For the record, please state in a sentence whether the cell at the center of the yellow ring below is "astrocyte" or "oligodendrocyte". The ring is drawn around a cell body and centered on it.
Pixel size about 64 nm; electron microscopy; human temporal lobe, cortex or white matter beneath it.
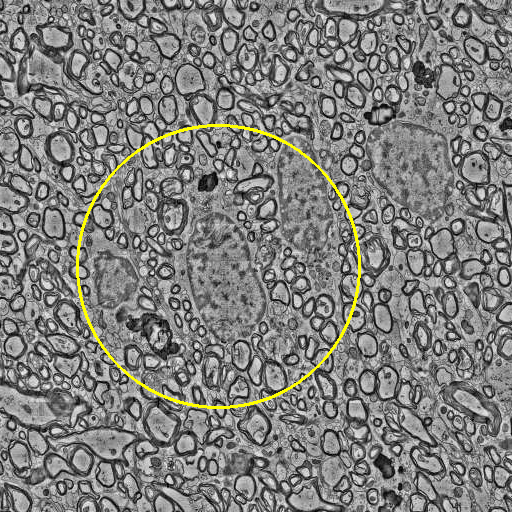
The cell at the ring's center is an oligodendrocyte.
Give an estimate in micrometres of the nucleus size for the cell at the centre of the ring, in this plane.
About 8 by 4 micrometers in this plane, so the nucleus is clearly longer than it is wide.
